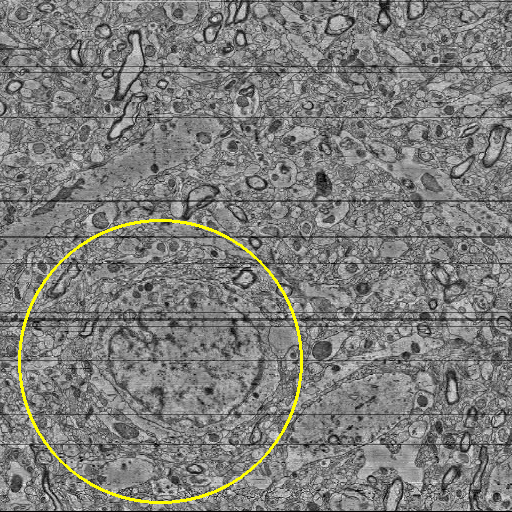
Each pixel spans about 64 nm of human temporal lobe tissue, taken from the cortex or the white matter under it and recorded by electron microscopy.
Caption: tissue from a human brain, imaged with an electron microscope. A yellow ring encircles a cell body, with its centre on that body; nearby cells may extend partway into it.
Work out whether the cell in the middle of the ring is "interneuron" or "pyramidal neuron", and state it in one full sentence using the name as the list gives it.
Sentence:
In the picture, the cell that the yellow ring surrounds at its centre is an interneuron.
